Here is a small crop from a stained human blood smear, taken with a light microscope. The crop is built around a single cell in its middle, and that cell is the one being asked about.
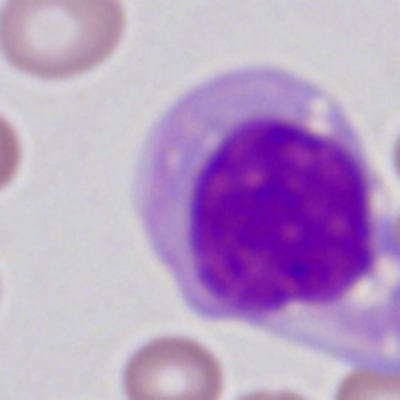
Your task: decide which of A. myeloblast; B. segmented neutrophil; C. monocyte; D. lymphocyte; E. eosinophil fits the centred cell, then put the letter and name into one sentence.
Seen at the centre of the crop is a monocyte, so option C is correct.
